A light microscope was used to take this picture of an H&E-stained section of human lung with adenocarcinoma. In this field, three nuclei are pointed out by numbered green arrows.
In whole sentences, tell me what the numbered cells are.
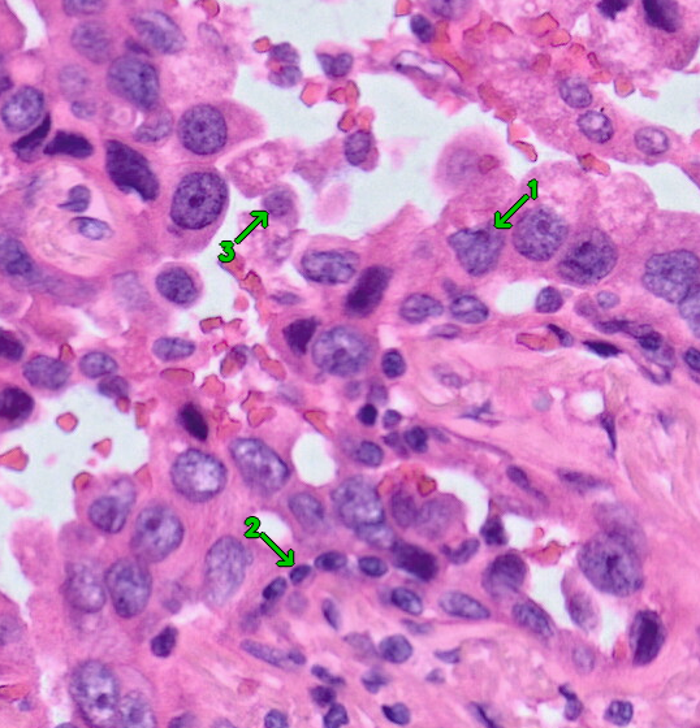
Cells 1 and 3 are carcinoma cells. Cell 2 is a lymphocyte.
